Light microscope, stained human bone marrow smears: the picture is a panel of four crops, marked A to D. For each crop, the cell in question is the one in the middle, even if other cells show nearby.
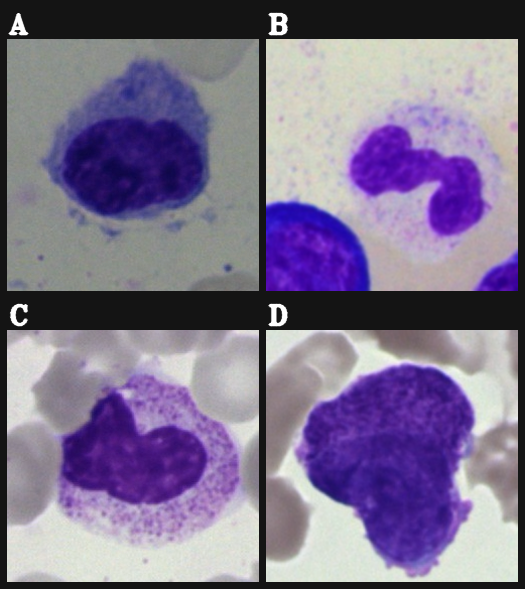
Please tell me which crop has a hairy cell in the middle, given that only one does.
A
